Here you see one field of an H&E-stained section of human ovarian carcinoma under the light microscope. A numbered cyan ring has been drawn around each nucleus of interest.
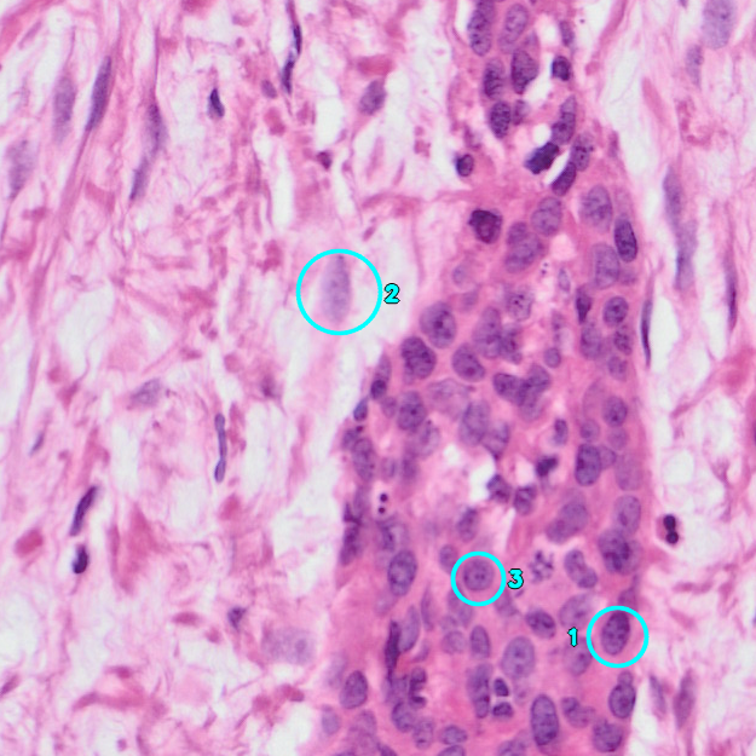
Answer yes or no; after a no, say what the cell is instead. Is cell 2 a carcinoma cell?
No, it is a fibroblast.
